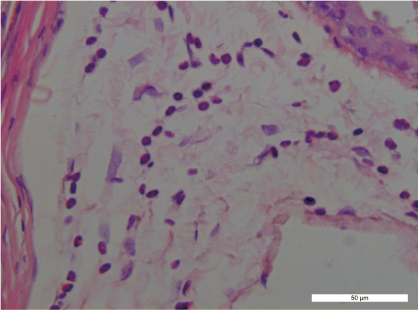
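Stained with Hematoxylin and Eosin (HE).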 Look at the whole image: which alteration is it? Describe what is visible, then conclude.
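Many small round cells with dark, compact nuclei lie scattered through the loose pale-pink stroma. The stroma looks loose and open, with widely spaced fibres.
Conclusion: infiltration of inflammatory cells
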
